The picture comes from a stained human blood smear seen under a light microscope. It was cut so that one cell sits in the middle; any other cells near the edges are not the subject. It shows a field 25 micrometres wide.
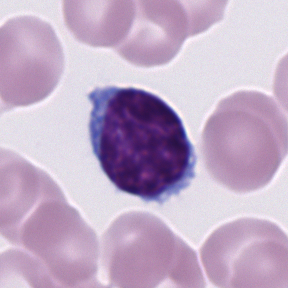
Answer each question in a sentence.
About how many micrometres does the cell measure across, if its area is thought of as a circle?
It measures about 10 micrometres across.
